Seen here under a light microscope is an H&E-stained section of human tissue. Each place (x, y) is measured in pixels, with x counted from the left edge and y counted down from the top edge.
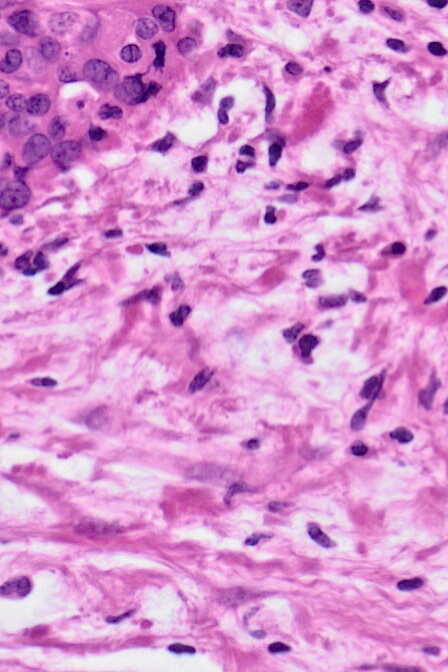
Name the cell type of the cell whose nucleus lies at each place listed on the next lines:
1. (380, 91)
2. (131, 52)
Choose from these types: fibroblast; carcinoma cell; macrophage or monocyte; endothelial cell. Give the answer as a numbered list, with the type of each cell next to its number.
1. fibroblast
2. macrophage or monocyte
